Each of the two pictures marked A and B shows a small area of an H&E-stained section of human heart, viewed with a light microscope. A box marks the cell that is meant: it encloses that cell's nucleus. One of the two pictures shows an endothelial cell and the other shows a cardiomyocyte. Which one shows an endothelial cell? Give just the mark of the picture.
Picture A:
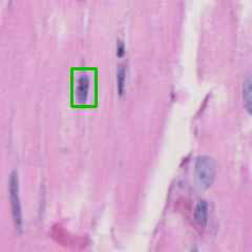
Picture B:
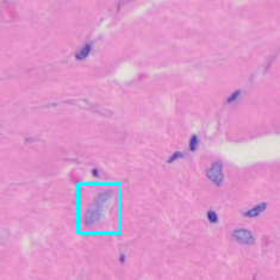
A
